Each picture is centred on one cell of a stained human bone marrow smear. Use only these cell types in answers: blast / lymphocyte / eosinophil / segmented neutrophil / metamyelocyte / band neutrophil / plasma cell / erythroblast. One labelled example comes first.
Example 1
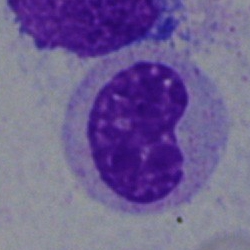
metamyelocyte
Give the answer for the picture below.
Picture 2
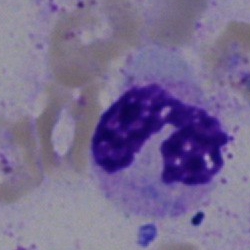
segmented neutrophil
